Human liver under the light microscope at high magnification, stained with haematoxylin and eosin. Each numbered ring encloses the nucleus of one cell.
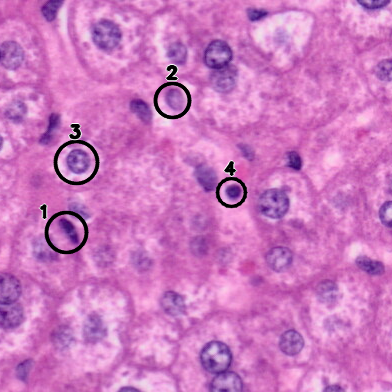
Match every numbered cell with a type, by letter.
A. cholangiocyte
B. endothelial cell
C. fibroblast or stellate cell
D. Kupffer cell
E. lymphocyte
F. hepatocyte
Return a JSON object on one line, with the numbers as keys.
{"1": "C", "2": "D", "3": "F", "4": "E"}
